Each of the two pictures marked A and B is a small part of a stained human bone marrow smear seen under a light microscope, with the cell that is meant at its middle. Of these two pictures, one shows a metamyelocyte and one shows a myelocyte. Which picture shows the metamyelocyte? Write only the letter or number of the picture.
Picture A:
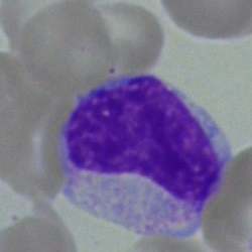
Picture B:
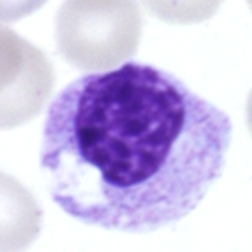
A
